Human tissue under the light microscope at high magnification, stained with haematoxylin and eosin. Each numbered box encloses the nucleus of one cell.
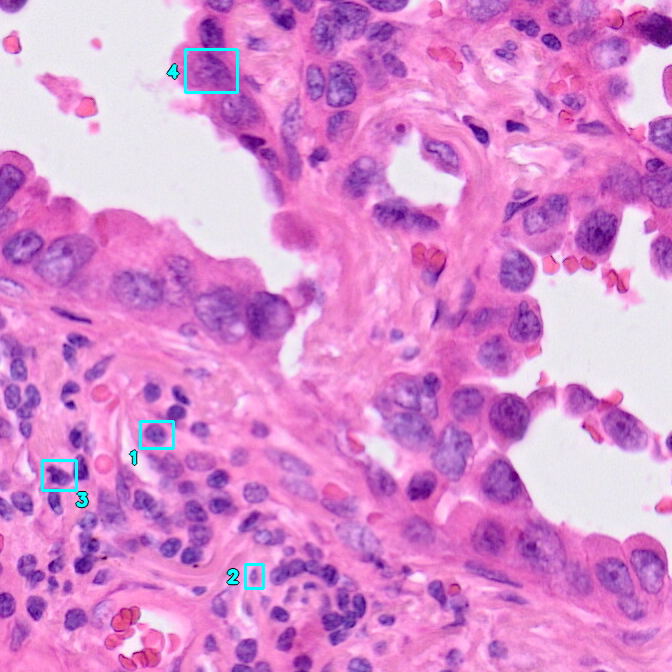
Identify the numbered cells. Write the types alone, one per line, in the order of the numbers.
lymphocyte
lymphocyte
lymphocyte
carcinoma cell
